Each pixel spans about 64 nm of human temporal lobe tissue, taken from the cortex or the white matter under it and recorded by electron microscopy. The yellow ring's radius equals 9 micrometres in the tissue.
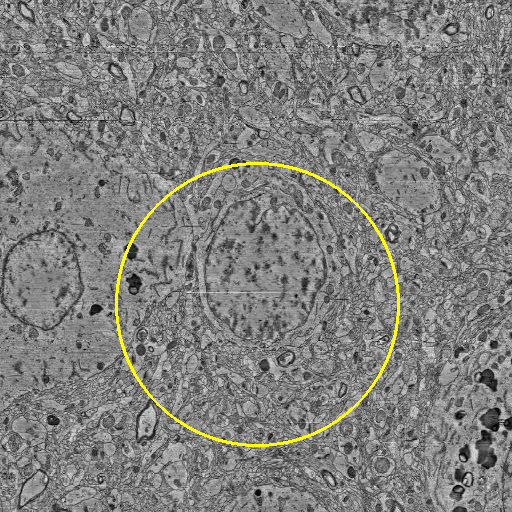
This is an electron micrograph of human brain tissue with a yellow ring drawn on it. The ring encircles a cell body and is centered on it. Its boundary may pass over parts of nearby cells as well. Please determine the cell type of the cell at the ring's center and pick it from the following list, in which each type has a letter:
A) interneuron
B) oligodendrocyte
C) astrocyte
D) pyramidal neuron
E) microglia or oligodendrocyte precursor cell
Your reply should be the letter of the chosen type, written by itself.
A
